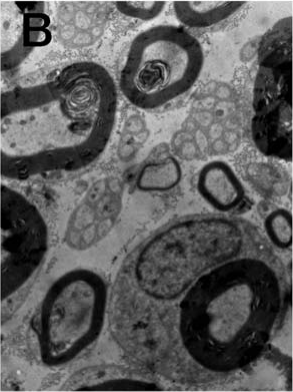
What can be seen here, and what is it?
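A cross-sectioned peripheral nerve with myelinating and non-myelinating Schwann cells. Between the large fibres lie clusters of many small pale unmyelinated axons bundled within shared cytoplasmic profiles. A few fibres show loosened, layered myelin at their inner edge. Pale extracellular matrix with fine collagen fills the spaces between fibres.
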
